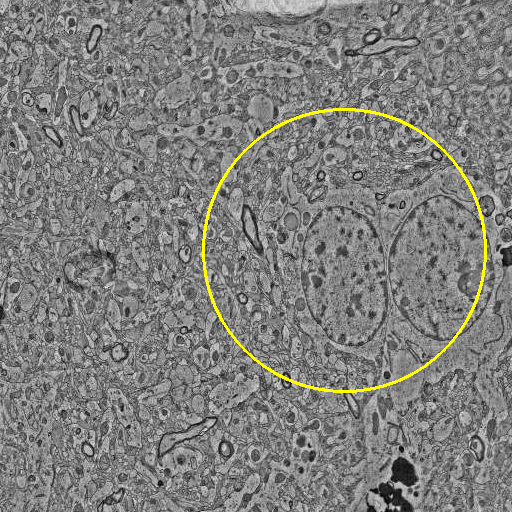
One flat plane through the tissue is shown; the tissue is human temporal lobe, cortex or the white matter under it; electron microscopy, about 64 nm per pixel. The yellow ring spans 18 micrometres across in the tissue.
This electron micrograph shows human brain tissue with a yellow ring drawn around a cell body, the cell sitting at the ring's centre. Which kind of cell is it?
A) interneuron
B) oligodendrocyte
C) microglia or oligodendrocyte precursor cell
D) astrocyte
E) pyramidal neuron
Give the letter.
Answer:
D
